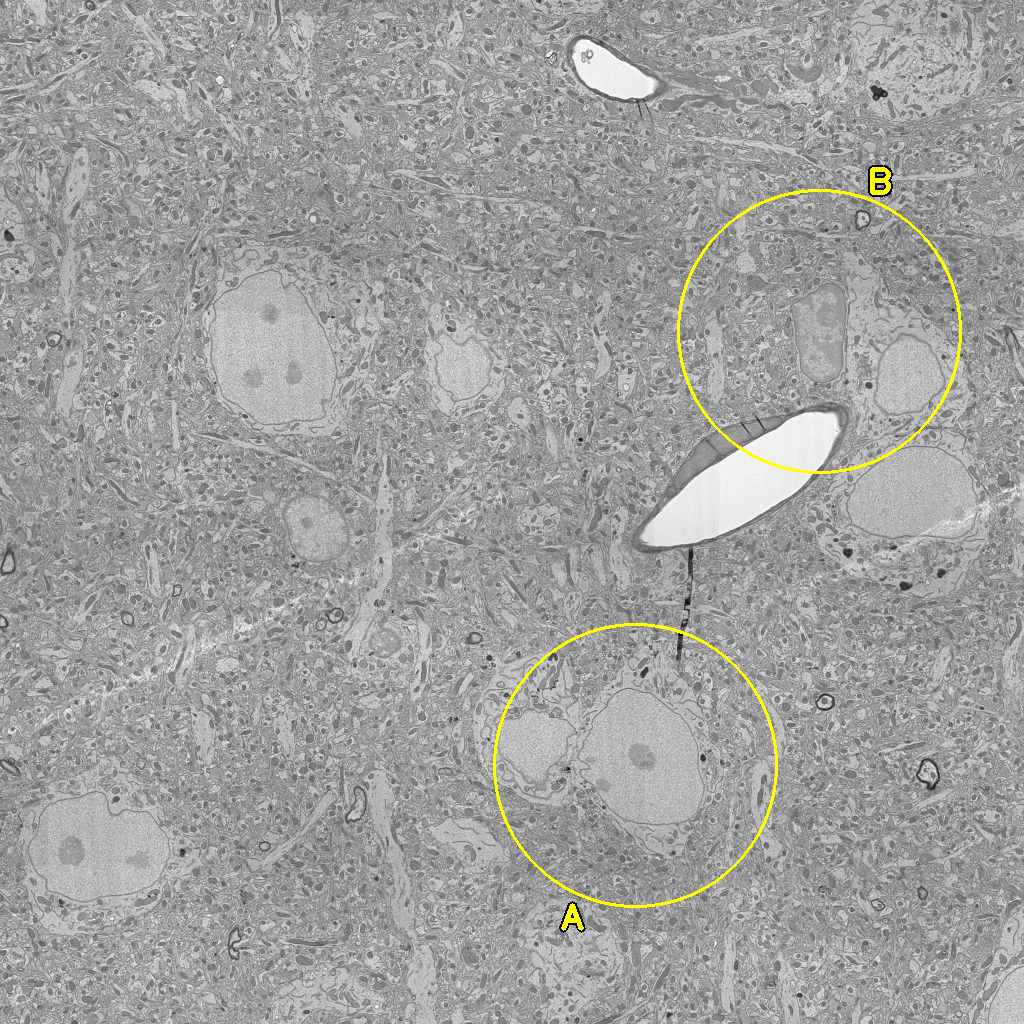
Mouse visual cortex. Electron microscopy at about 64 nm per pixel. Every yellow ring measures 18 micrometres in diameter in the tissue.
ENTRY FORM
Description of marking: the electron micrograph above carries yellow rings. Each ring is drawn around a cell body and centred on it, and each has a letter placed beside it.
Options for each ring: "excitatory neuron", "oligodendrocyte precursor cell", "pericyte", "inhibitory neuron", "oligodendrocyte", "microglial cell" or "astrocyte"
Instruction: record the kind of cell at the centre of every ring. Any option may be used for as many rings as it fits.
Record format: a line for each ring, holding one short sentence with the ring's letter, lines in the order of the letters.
Ring A surrounds the cell body of an excitatory neuron.
Ring B surrounds the cell body of a microglial cell.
